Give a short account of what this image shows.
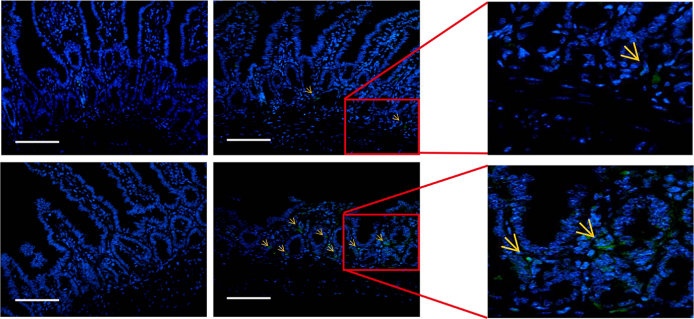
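These are fluorescent sections of intestinal wall in which the cell nuclei glow blue, so the outlines of villi and crypts are traced by crowded blue dots. In the left-hand pictures almost nothing but blue is seen. In the middle pictures small bright green spots, pointed out by yellow arrows, sit among the blue nuclei near the base of the mucosa around the crypts; there are more of them in the lower picture.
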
